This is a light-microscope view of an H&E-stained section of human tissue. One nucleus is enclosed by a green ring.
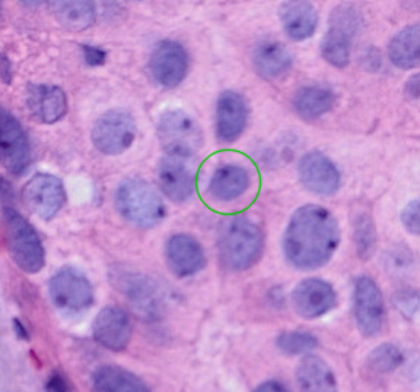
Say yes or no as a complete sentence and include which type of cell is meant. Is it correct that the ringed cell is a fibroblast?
No, the ringed cell is not a fibroblast; the correct answer is a carcinoma cell.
